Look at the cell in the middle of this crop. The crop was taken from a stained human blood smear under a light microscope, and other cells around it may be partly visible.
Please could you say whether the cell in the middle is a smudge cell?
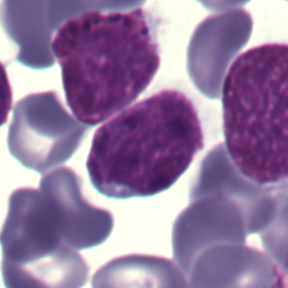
no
